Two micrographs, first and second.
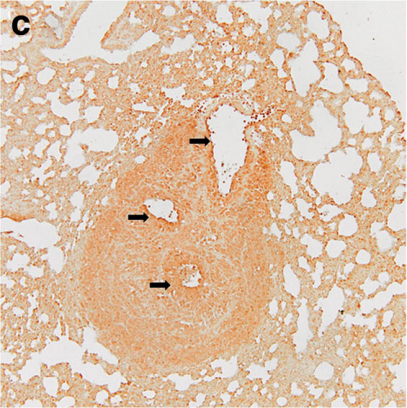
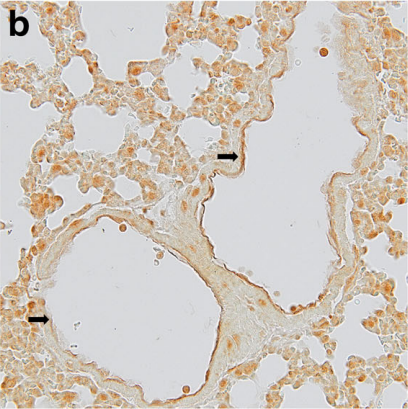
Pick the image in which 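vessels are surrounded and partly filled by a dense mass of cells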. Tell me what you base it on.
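The first image. First image: the arrowed vessels lie inside a large solid cell mass, and their lumina are small or partly filled. Second image: the arrowed vessels have wide, empty lumina lined by a thin wall, amid open alveoli.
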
